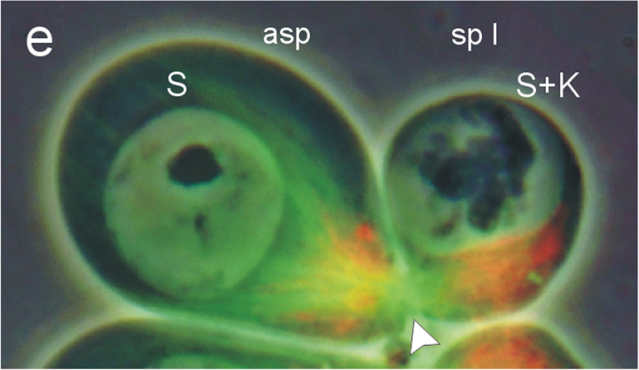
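Two round spermatocytes lie side by side, a larger one on the left and a smaller one on the right, each bounded by a bright phase-contrast rim. The larger cell holds a big round pale nucleus, while the smaller cell's nucleus shows dark clumped chromatin. Fine green fibres fan out through the cytoplasm of the larger cell and converge on a narrow bridge at the bottom where the two cells are joined. Red granular material gathers around this bridge and extends into the smaller cell.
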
